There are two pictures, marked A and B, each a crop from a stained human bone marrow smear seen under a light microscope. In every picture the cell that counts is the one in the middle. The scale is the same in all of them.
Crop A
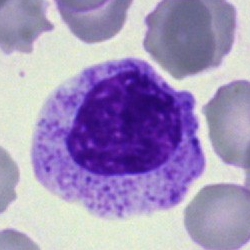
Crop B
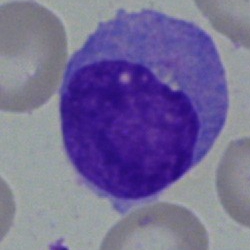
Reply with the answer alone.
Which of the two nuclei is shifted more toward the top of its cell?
A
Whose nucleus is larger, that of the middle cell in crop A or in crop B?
B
